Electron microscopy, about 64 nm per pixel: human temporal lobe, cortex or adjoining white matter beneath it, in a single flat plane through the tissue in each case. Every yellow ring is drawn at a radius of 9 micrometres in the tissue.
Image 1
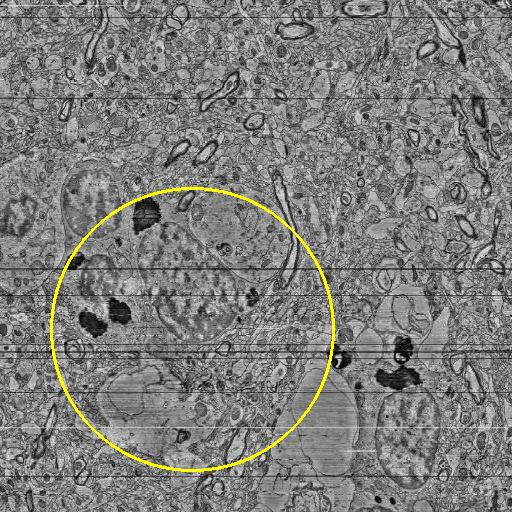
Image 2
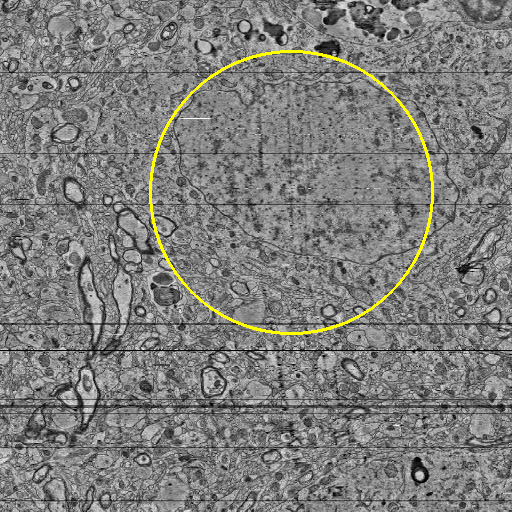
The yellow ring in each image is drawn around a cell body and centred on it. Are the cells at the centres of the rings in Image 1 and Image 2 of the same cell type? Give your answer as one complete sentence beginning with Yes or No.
No, the two cells are of two separate types.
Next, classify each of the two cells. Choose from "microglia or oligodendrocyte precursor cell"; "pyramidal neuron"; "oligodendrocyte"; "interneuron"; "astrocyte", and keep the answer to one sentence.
In the first picture it is an oligodendrocyte; in the second it is a pyramidal neuron.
